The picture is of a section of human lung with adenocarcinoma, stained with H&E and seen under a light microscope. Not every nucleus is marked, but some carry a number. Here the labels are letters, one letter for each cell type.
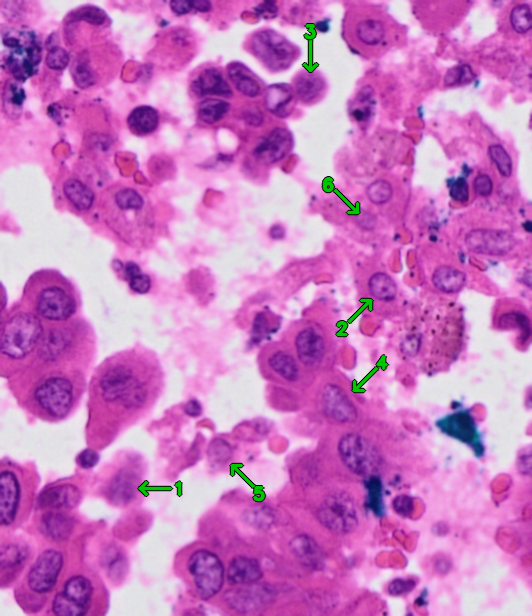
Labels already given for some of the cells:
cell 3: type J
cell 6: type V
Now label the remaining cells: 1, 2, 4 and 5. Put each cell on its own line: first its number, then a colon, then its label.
1: type J
2: type V
4: type J
5: type V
